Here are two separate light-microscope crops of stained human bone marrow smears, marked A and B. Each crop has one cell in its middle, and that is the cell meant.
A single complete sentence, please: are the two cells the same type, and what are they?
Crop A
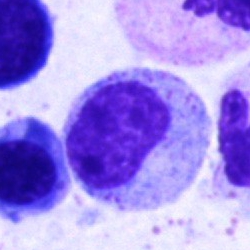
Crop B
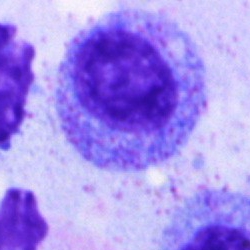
Yes, in the two crops, myelocytes are the cells at the centre.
